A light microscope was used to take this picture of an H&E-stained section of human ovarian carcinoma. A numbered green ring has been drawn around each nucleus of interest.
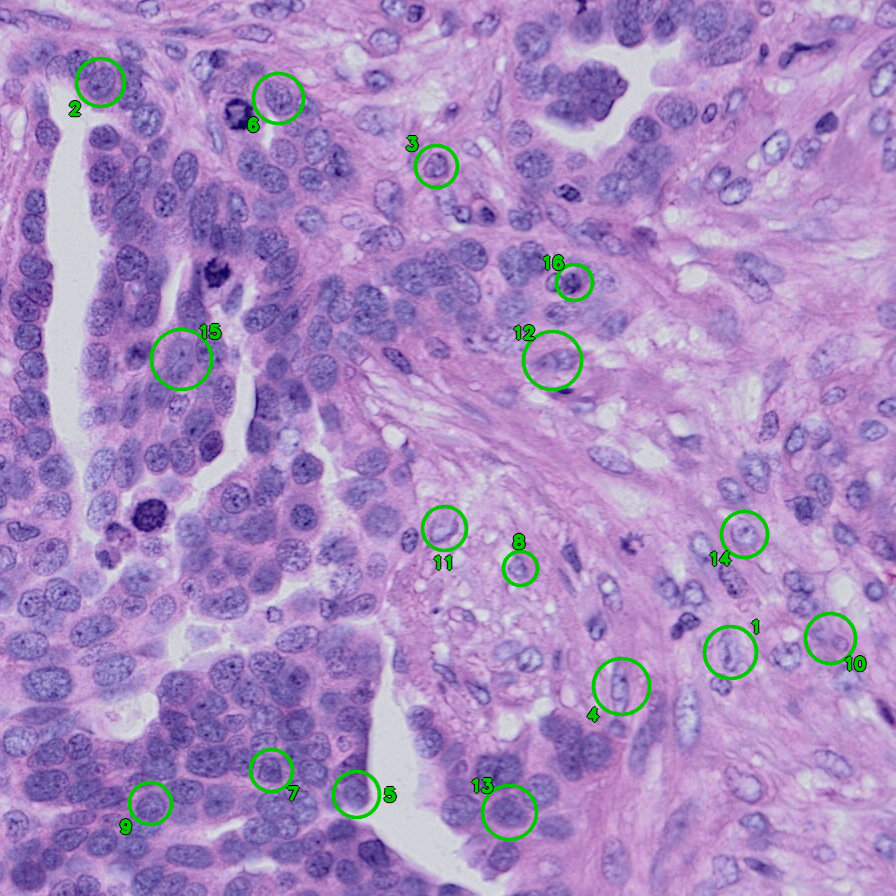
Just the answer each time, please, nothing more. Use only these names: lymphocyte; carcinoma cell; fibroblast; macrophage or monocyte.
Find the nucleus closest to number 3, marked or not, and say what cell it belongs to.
fibroblast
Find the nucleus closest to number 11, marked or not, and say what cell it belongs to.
macrophage or monocyte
